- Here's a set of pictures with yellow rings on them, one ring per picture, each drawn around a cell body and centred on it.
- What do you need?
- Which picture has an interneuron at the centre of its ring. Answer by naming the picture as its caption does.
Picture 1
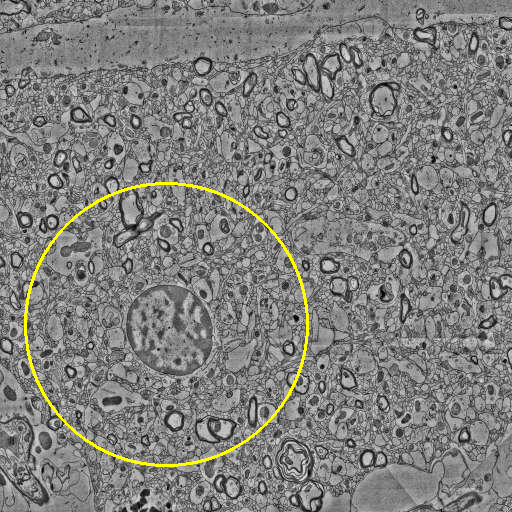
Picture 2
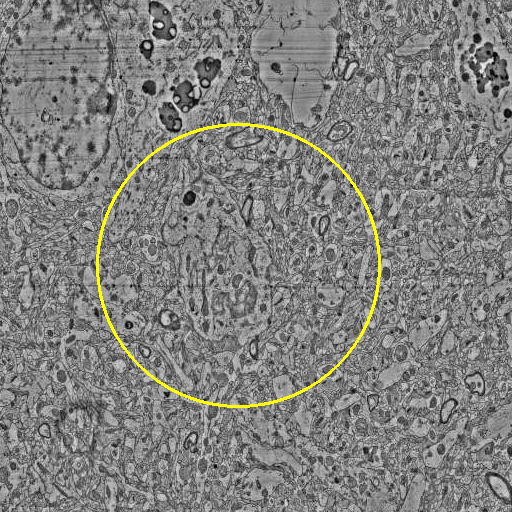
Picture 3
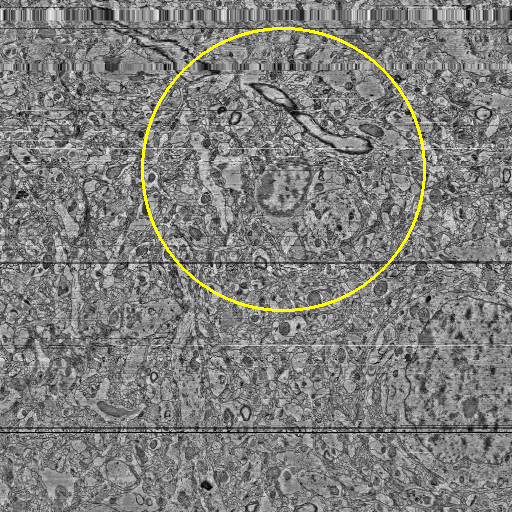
Picture 2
